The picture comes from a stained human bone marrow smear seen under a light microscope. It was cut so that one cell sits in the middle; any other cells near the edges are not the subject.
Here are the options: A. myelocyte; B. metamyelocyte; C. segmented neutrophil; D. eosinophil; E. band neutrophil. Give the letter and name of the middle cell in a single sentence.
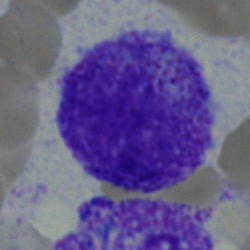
Answer key: option A, the middle cell being a myelocyte.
